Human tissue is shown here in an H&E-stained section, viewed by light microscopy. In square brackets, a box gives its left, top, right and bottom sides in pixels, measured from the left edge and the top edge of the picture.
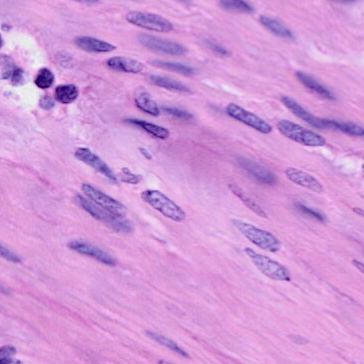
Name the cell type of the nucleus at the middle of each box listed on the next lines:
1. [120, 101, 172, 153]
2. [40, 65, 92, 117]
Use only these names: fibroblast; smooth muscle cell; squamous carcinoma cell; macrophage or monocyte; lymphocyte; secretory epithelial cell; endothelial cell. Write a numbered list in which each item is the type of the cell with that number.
1. fibroblast
2. lymphocyte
